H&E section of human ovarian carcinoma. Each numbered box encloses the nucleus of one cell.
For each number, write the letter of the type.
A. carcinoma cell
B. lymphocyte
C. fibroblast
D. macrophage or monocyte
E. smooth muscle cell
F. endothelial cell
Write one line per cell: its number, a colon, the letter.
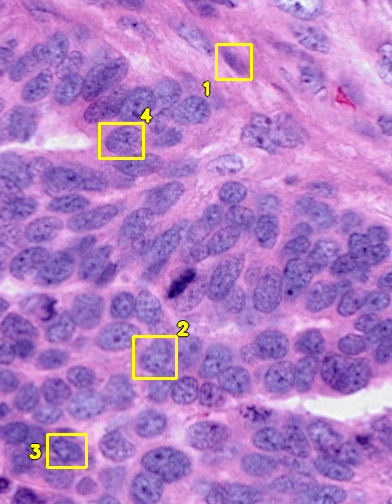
1: C
2: A
3: A
4: A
